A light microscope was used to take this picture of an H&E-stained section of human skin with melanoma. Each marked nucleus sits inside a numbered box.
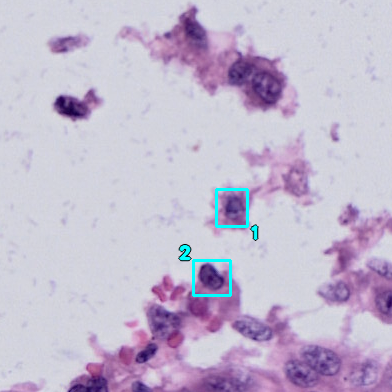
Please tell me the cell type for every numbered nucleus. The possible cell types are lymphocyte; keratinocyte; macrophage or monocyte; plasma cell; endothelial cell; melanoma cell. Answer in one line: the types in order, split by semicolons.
macrophage or monocyte; melanoma cell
